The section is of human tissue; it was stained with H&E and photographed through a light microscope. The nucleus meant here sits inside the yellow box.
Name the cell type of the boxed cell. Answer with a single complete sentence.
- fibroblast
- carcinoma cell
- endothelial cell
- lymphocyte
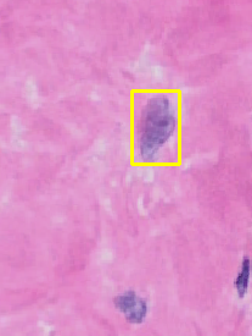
The classification of the boxed cell is as a fibroblast.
